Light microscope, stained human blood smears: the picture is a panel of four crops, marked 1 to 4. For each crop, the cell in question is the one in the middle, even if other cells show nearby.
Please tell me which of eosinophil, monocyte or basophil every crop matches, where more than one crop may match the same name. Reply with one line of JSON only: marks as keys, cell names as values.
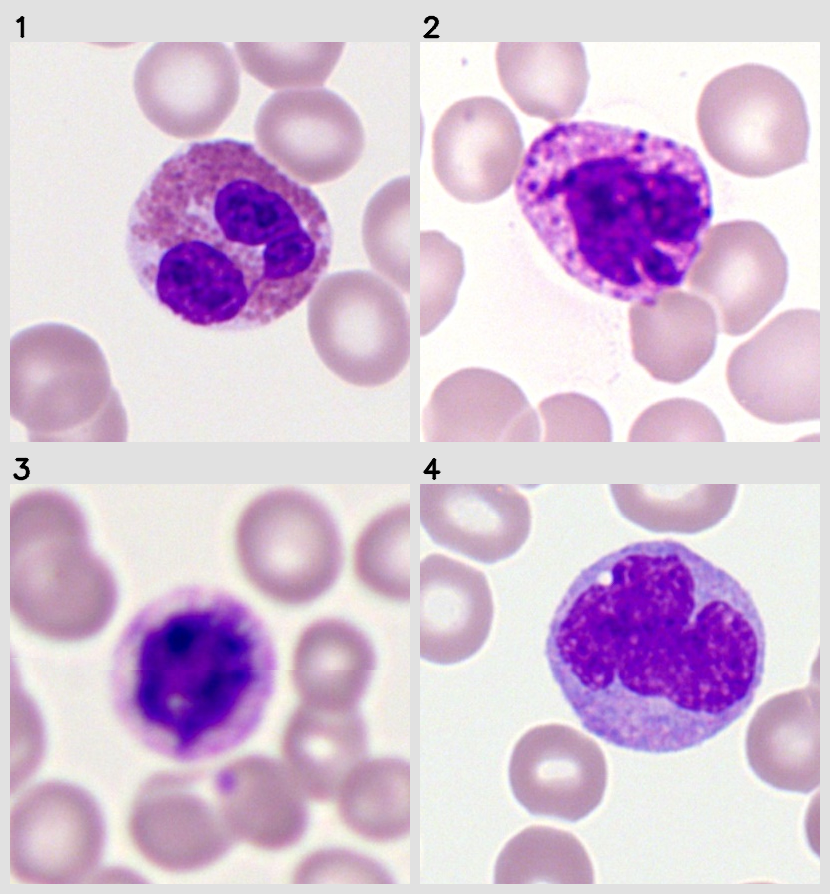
{"1": "eosinophil", "2": "basophil", "3": "basophil", "4": "monocyte"}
